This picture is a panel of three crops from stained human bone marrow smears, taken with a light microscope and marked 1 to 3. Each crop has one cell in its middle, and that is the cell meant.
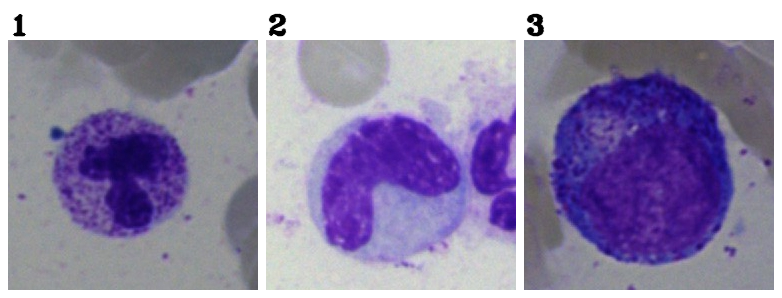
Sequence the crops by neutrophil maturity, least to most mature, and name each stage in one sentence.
Maturity order, least to most: crop 3 (a promyelocyte), crop 2 (a band neutrophil) and crop 1 (a segmented neutrophil).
